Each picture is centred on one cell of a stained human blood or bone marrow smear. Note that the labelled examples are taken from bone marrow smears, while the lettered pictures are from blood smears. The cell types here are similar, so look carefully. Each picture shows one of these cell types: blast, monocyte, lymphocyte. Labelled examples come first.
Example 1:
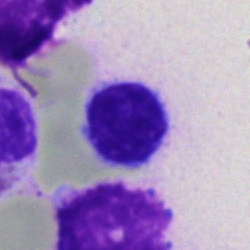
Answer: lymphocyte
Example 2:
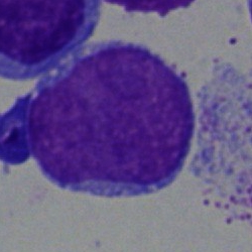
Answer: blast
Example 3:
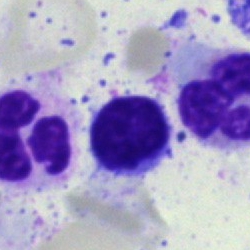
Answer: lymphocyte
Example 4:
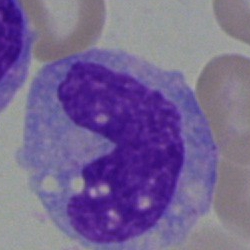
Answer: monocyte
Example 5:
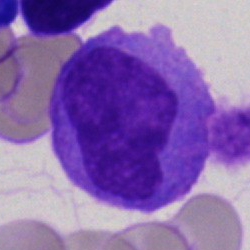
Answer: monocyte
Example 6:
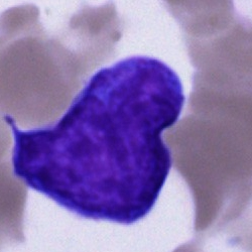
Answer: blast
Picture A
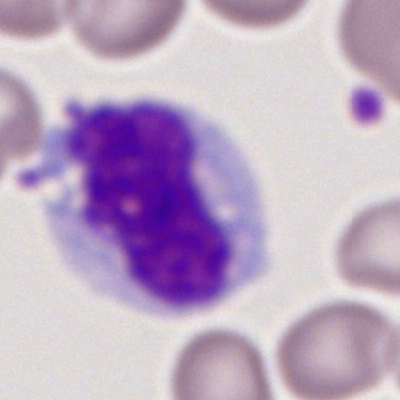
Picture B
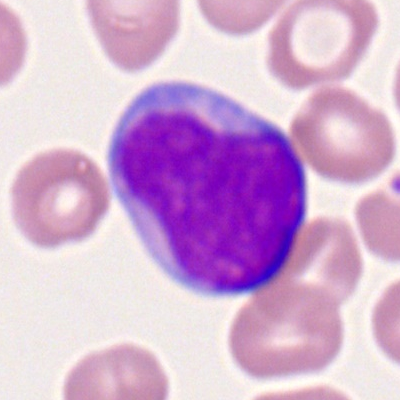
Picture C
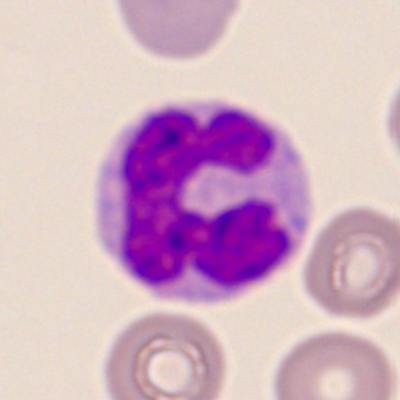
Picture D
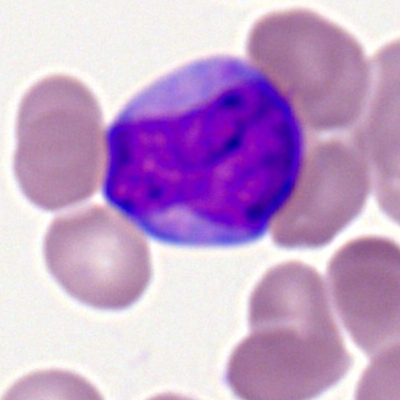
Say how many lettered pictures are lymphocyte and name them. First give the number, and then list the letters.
0, none of them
